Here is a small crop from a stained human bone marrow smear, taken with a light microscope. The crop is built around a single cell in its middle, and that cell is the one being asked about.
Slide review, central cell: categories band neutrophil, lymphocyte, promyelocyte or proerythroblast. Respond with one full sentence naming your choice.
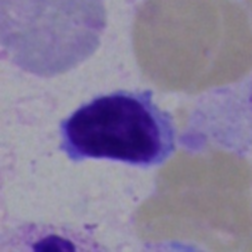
This crop has a lymphocyte at its centre.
